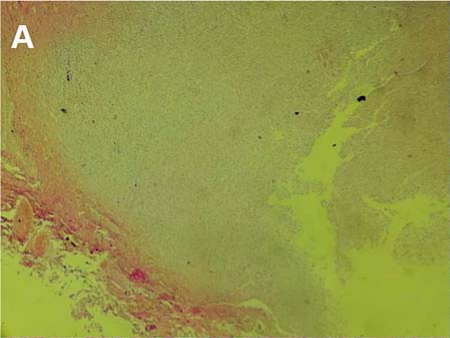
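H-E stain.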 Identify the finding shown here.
Necrosis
